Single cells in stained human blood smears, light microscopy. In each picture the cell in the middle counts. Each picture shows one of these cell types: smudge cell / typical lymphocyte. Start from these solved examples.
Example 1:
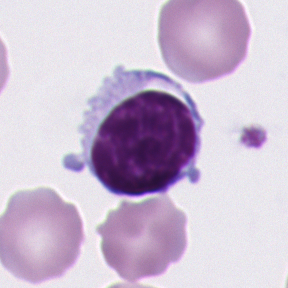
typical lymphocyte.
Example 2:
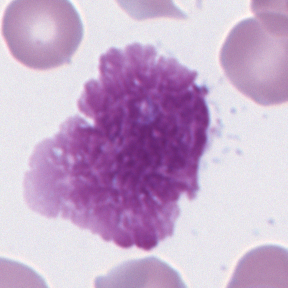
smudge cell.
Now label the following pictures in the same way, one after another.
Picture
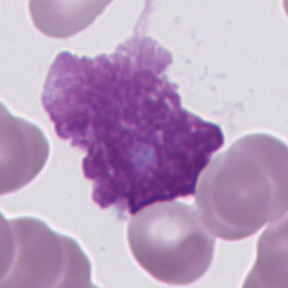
smudge cell.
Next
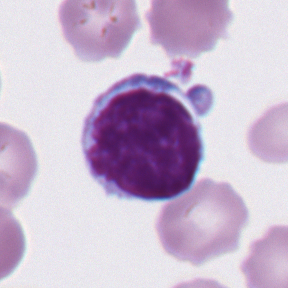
typical lymphocyte.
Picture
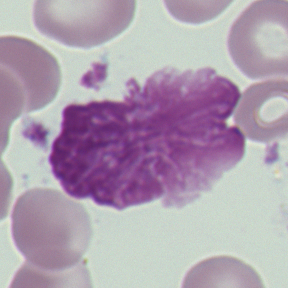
smudge cell.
